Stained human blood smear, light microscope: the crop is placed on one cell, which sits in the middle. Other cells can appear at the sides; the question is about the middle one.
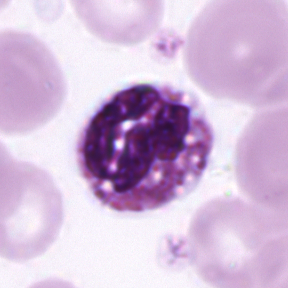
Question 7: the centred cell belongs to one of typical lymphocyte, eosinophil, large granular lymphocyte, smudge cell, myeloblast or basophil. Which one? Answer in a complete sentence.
For this crop, the central cell is an eosinophil.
